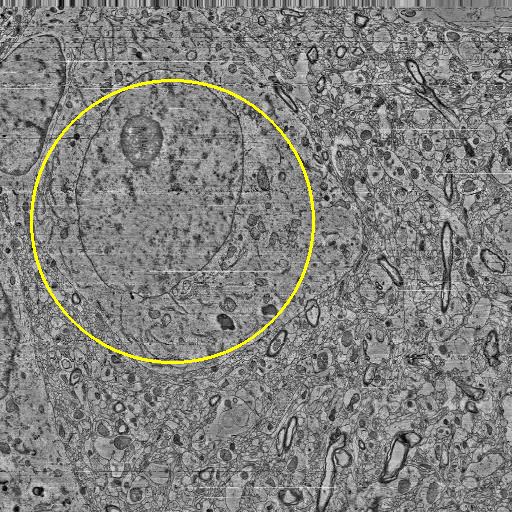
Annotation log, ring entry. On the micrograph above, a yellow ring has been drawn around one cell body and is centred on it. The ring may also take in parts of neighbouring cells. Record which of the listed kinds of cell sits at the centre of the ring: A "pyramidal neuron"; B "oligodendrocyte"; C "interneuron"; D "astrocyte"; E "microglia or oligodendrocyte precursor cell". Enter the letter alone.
A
